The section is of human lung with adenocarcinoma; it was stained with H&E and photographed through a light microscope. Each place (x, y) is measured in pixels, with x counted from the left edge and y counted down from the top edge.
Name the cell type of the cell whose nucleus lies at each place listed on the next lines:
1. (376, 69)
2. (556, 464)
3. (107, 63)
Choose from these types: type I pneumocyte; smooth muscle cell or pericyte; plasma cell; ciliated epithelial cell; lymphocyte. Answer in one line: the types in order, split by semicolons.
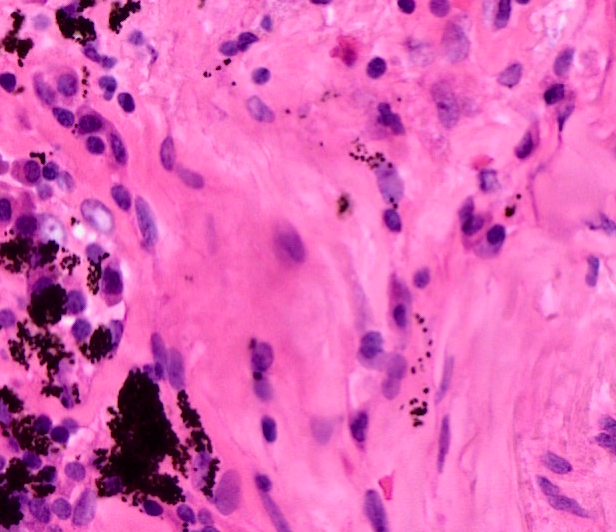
lymphocyte; smooth muscle cell or pericyte; lymphocyte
